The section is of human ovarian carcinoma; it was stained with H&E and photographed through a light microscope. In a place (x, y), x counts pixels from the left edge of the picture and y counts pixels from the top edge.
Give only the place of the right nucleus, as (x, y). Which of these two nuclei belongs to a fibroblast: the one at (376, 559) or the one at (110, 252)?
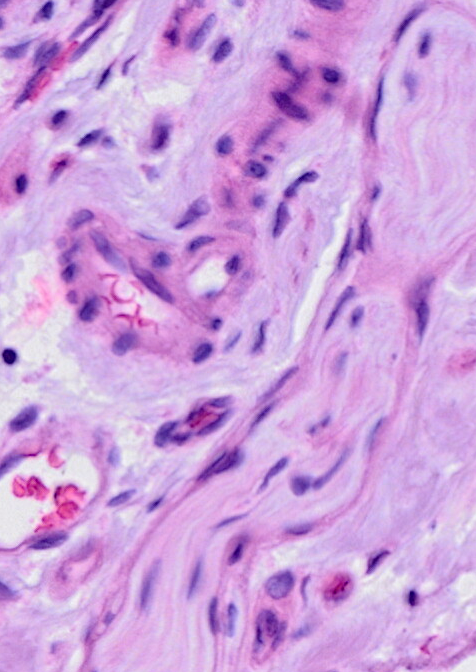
(376, 559)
